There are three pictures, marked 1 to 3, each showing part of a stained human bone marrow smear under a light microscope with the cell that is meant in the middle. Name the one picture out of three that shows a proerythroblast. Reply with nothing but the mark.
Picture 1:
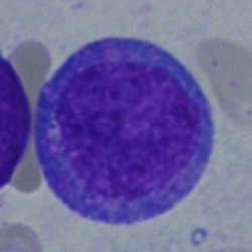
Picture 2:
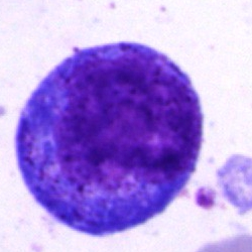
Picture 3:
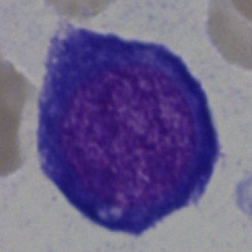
3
